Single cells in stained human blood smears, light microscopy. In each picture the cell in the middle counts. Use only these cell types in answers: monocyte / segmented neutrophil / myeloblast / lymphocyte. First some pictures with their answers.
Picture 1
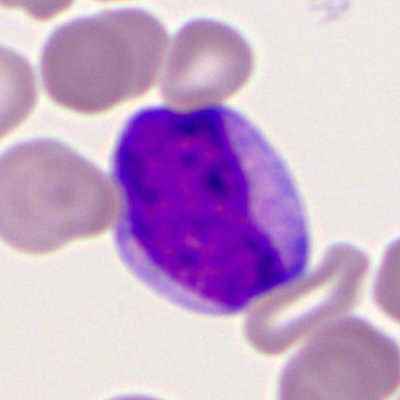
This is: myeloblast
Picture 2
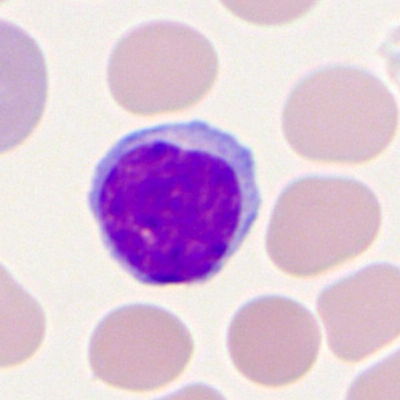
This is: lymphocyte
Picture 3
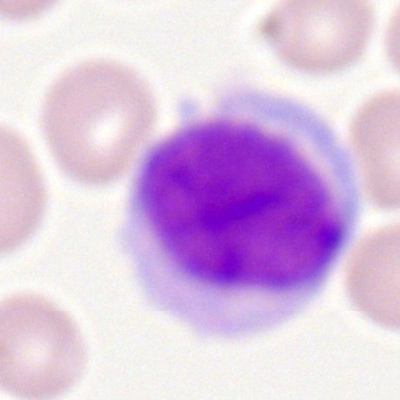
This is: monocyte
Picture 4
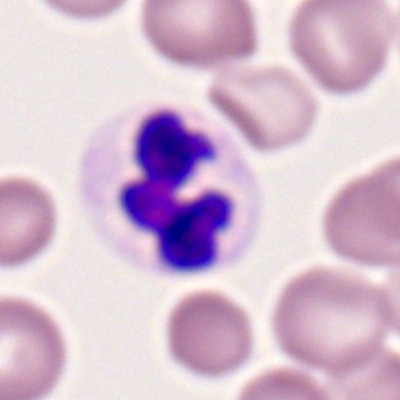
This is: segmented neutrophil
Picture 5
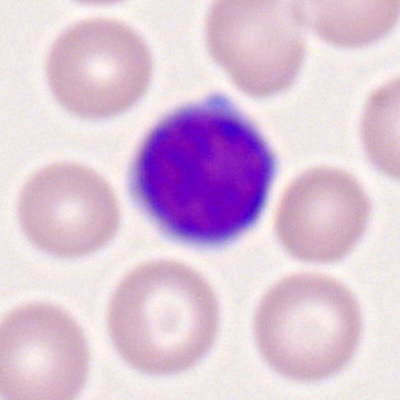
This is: lymphocyte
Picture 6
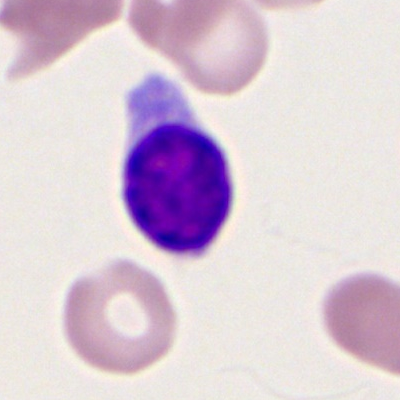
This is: lymphocyte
